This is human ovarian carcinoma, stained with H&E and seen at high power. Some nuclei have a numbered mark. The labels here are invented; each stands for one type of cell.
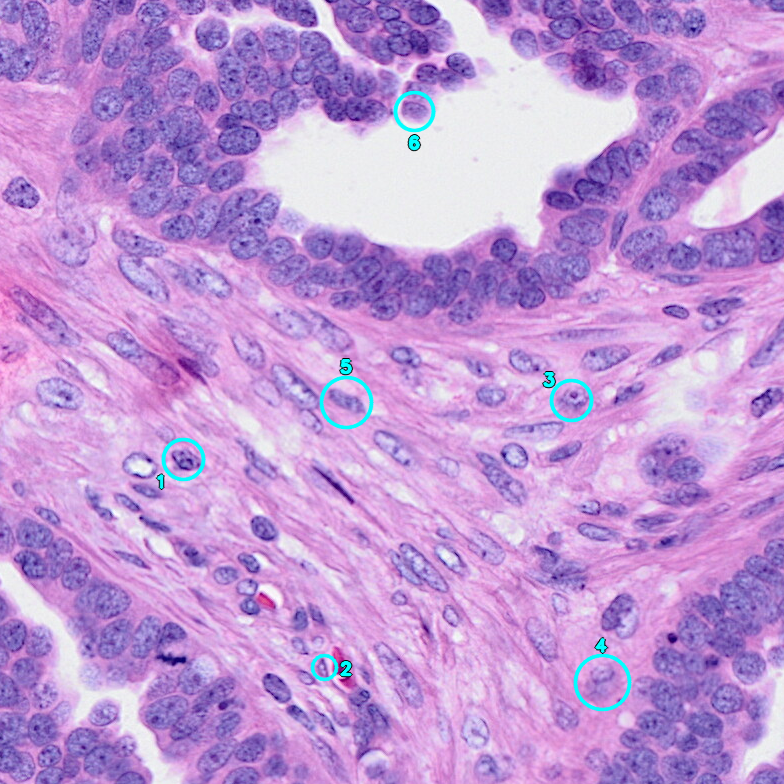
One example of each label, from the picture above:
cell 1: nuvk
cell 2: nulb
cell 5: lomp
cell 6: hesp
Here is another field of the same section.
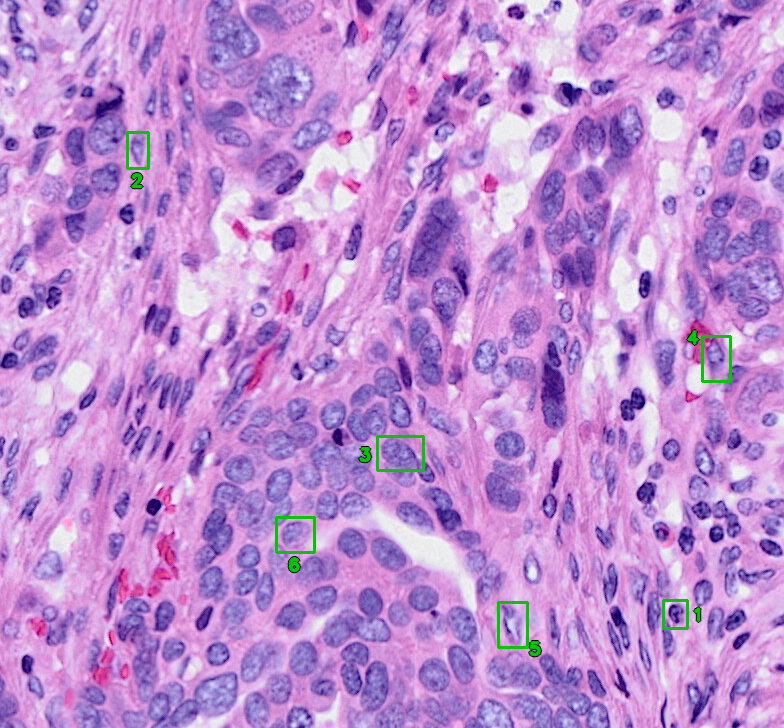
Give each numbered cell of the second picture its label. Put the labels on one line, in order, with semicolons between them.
nuvk; lomp; hesp; nulb; lomp; hesp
